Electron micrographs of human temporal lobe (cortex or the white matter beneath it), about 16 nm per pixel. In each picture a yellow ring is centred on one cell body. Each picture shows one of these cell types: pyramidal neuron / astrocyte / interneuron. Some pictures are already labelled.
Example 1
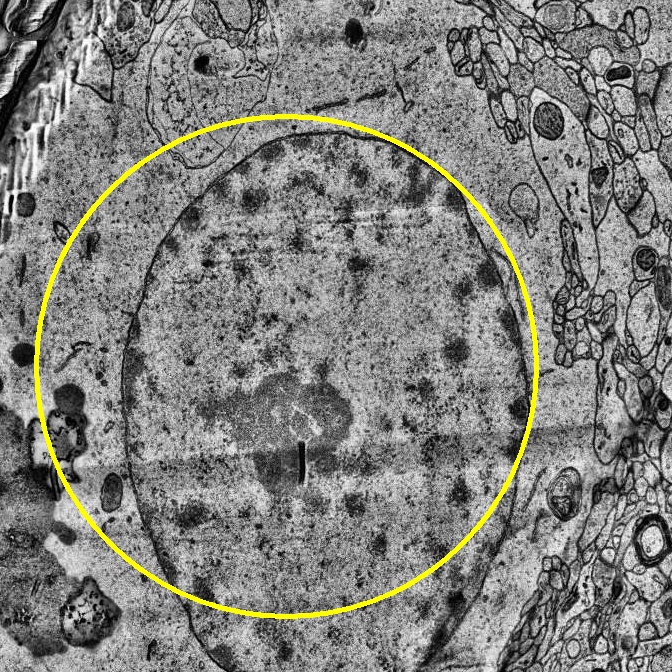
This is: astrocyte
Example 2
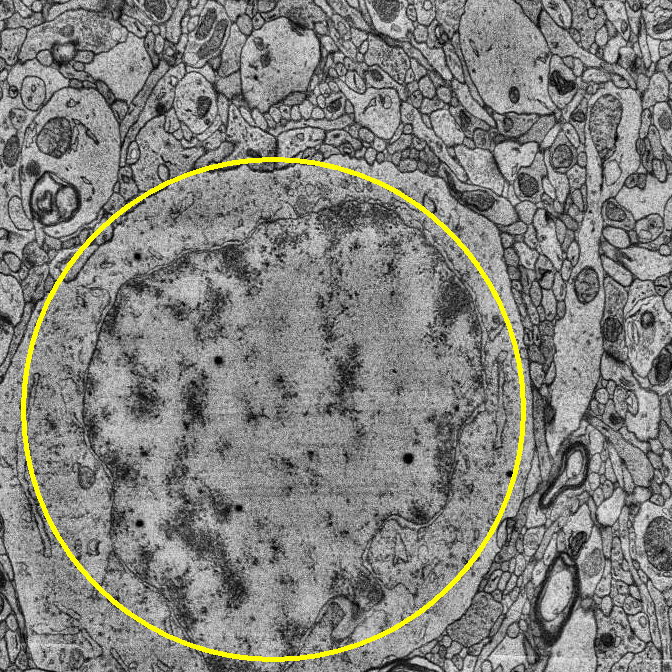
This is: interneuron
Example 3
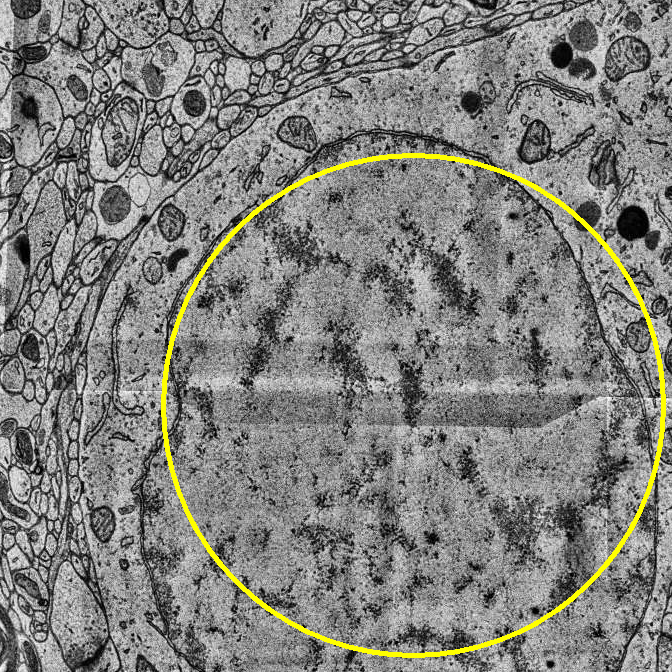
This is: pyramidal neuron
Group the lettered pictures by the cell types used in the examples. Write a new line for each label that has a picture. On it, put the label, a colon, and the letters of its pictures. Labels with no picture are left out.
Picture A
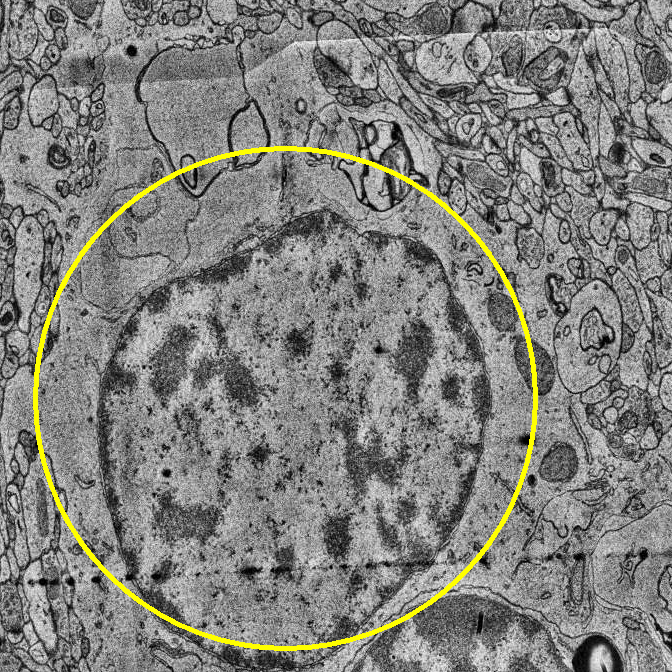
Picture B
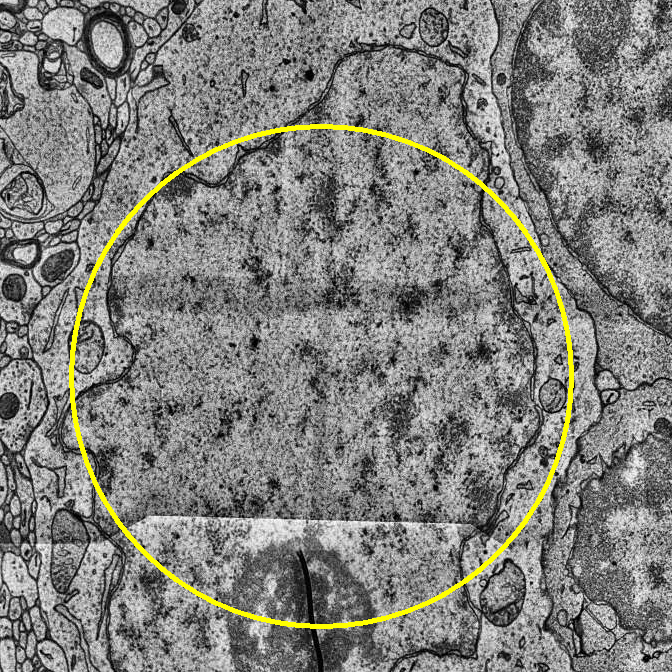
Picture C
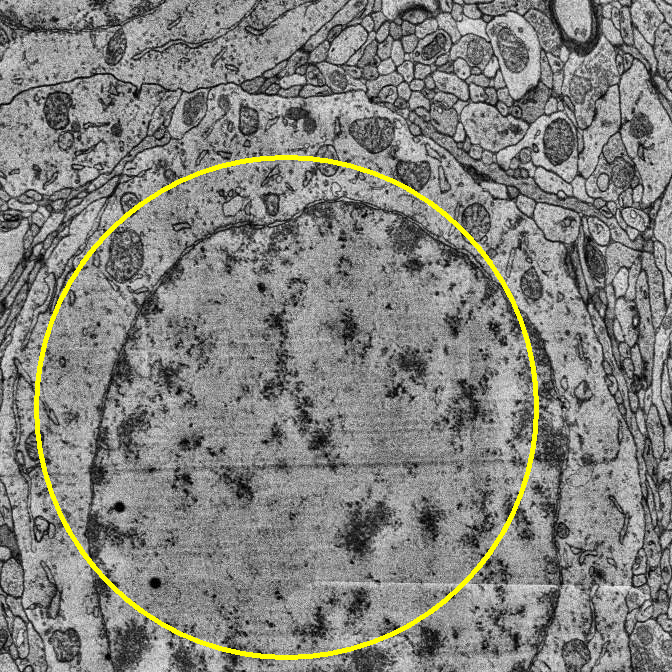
pyramidal neuron: C
astrocyte: A
interneuron: B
